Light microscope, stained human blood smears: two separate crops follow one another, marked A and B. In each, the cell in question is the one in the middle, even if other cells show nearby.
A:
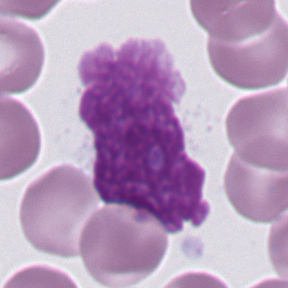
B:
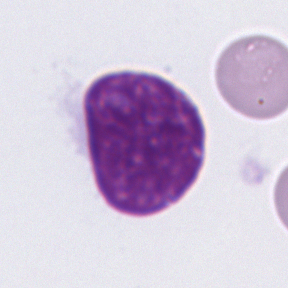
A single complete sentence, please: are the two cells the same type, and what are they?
Yes, the middle cells in both crops are indeed smudge cells.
